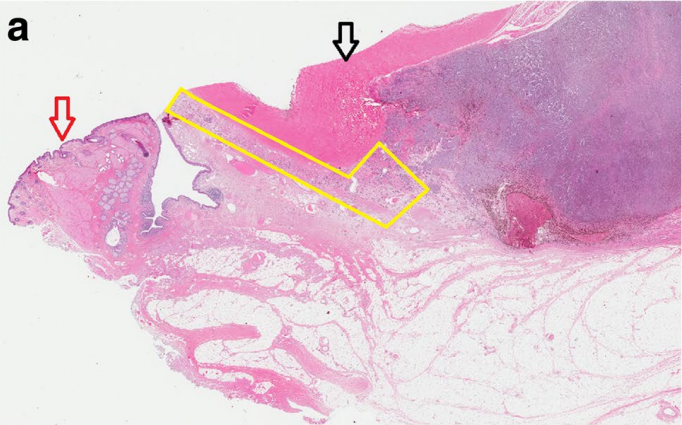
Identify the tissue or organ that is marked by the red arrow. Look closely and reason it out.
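The arrow points to a small flap of tissue covered by a surface epithelium. The flap contains rows of small glandular lobules. On this evidence: eyelid tissue.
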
